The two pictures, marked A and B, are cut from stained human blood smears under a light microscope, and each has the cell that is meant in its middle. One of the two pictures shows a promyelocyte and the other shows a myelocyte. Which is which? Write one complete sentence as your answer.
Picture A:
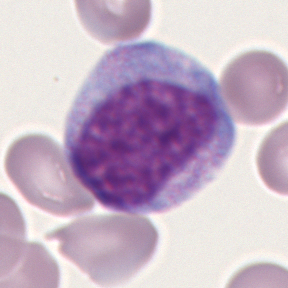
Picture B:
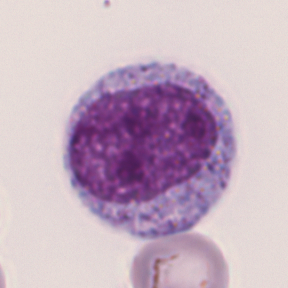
The cell in picture A is a promyelocyte, and the one in picture B is a myelocyte.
